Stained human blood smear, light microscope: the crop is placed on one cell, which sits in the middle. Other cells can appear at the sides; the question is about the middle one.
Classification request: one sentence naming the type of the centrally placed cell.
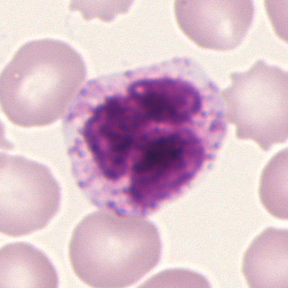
The central cell, amid any neighbouring cells, is a basophil.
